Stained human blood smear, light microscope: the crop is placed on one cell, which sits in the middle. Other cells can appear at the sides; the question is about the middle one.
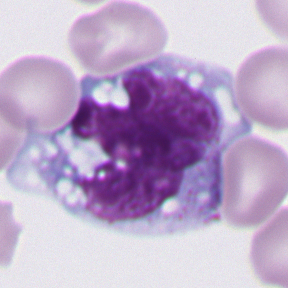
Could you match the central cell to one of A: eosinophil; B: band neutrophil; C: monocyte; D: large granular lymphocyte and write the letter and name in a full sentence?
Of the options given, C is correct, the central cell being a monocyte.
